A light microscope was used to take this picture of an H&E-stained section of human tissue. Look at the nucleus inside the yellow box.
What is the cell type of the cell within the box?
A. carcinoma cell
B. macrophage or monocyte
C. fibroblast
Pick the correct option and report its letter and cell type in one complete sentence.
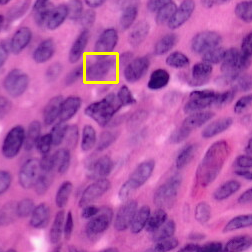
Option A, identifying the cell within the box as a carcinoma cell, is correct.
